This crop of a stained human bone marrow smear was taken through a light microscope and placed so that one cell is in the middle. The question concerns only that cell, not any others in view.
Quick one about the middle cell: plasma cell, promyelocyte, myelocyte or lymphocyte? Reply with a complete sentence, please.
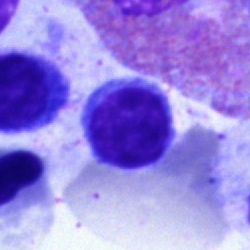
The cell at the centre of the field is a lymphocyte.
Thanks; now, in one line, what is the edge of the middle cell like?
Its outline is smooth, with no projections anywhere along the edge.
